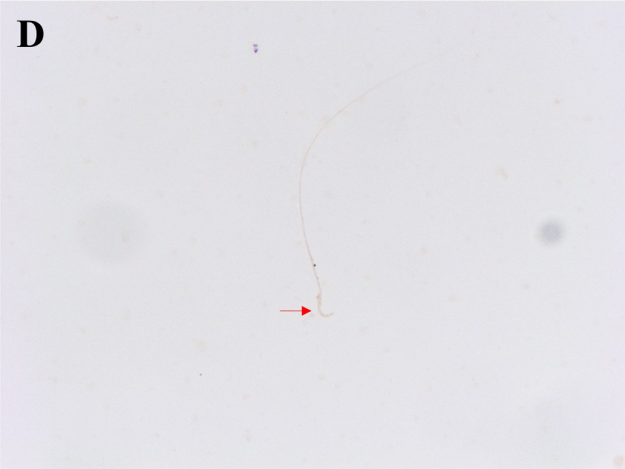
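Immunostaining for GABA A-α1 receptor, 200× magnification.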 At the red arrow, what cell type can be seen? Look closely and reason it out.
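Spermatozoon. A single cell with a small hooked head. A long thin tail curves away from the head.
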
